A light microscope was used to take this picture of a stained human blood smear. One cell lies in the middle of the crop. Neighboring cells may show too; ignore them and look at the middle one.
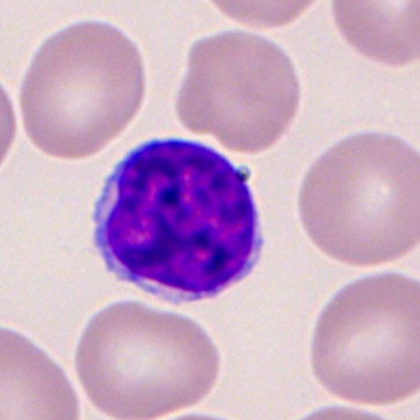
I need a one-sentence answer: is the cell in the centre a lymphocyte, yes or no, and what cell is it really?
Yes, the cell lying in the middle is a lymphocyte.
